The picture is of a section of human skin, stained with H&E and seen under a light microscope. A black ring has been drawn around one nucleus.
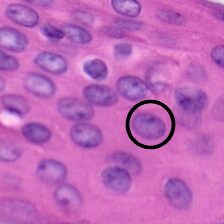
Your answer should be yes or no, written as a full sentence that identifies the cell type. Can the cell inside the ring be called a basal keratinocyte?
No, the cell inside the ring is described as a suprabasal keratinocyte and not as a basal keratinocyte.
